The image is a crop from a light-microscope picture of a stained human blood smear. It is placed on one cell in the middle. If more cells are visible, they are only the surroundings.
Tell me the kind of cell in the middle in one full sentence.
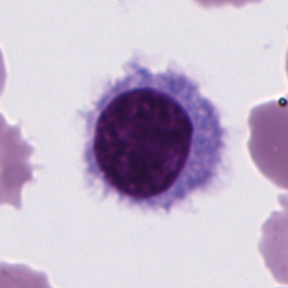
This crop has a hairy cell at its centre.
